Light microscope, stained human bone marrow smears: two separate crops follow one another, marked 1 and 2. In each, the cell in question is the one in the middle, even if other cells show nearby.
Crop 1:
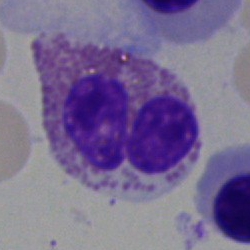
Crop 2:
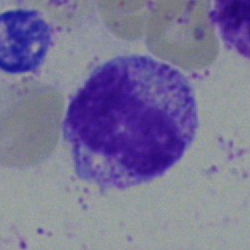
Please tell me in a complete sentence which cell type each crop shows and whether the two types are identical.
No, crop 1 shows an eosinophil and crop 2 shows a metamyelocyte.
